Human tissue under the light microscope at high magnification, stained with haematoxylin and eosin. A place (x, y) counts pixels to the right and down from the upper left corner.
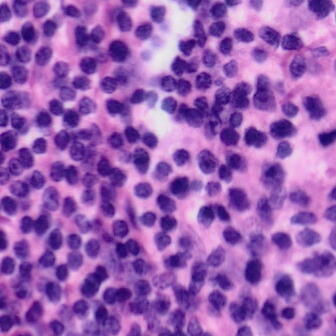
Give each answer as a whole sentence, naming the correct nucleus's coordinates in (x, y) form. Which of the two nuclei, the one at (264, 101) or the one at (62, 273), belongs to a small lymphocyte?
At (62, 273) lies the nucleus that belongs to a small lymphocyte.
